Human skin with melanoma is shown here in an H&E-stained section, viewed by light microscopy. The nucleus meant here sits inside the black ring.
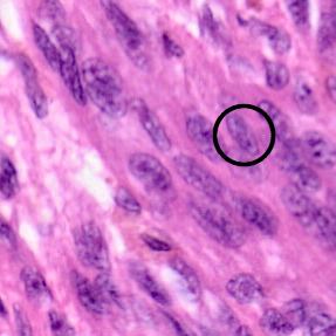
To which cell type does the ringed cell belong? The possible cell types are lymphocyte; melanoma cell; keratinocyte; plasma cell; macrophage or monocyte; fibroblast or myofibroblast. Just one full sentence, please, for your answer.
As to its cell type, the ringed cell is a melanoma cell.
